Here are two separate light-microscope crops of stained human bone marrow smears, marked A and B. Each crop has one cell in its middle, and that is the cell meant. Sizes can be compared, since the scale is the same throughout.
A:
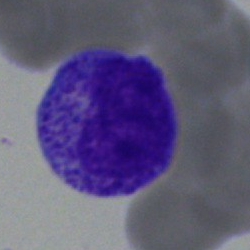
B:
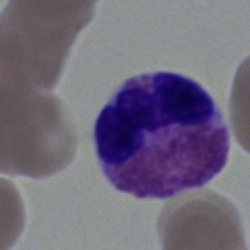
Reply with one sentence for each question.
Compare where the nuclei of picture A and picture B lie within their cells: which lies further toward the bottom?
In picture A the nucleus is shifted more toward the bottom.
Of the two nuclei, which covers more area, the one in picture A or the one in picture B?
The nucleus in picture A is larger, with about 1.5 times the area of the one in picture B.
